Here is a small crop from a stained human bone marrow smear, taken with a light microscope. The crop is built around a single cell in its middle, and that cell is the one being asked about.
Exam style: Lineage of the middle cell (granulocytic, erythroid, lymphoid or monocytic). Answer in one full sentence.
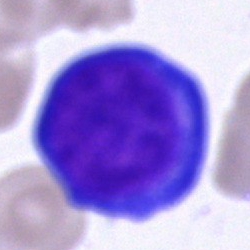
The cell at the middle of the crop is designated as erythroid in lineage.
